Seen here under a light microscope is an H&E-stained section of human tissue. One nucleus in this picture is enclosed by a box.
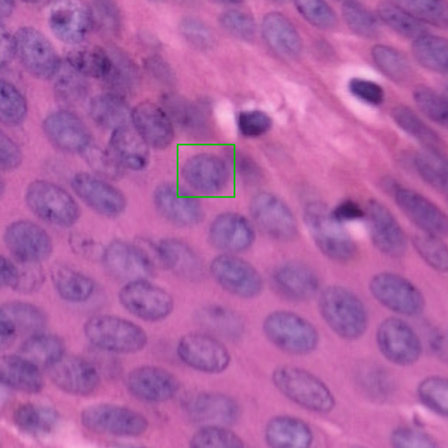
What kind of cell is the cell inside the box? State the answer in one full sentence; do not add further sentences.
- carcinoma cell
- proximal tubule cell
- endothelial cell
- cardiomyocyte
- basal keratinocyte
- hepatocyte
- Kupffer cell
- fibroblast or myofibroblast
Right, so the cell inside the box is a basal keratinocyte, to answer that.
